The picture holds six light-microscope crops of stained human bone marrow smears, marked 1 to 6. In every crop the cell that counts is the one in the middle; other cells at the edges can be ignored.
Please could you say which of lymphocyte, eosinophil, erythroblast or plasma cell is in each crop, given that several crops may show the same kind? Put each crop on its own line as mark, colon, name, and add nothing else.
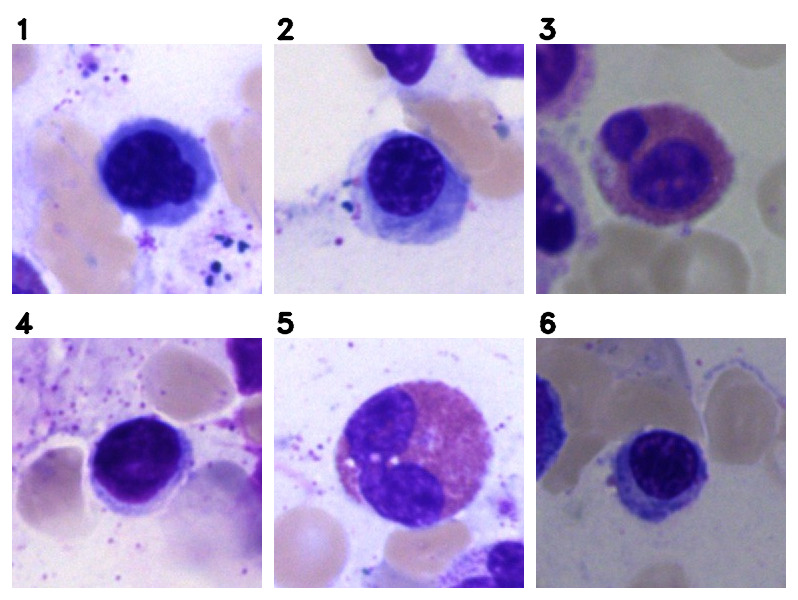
1: erythroblast
2: erythroblast
3: eosinophil
4: lymphocyte
5: eosinophil
6: erythroblast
